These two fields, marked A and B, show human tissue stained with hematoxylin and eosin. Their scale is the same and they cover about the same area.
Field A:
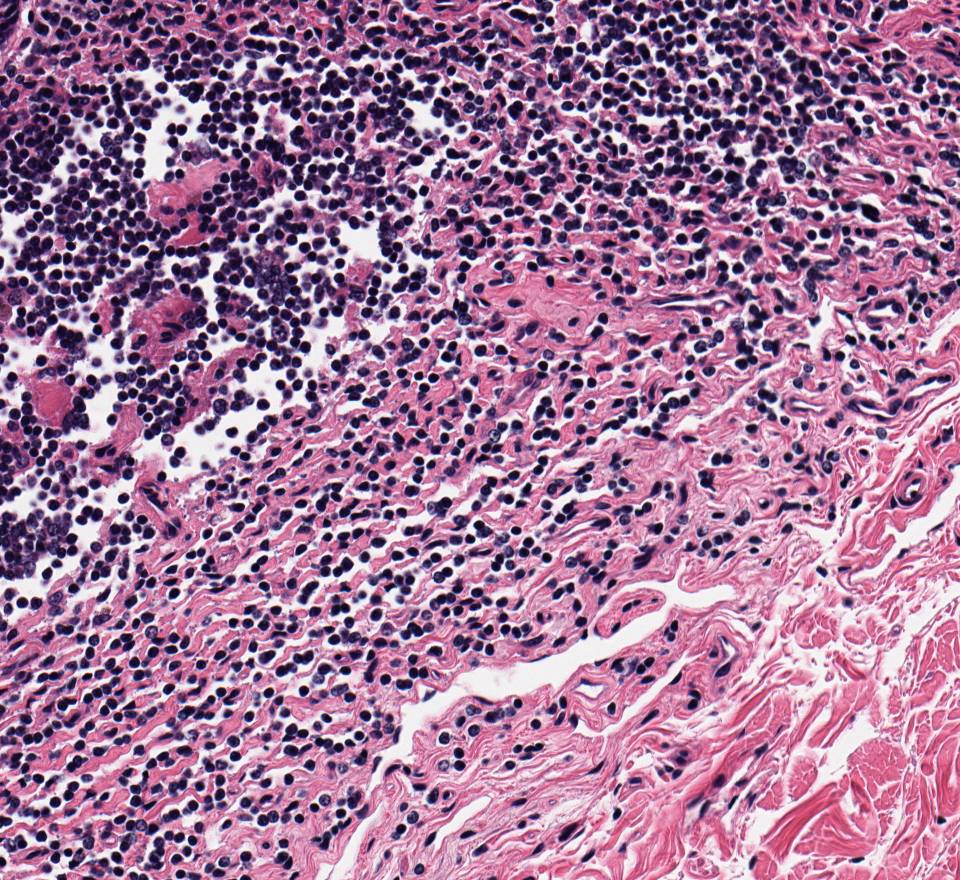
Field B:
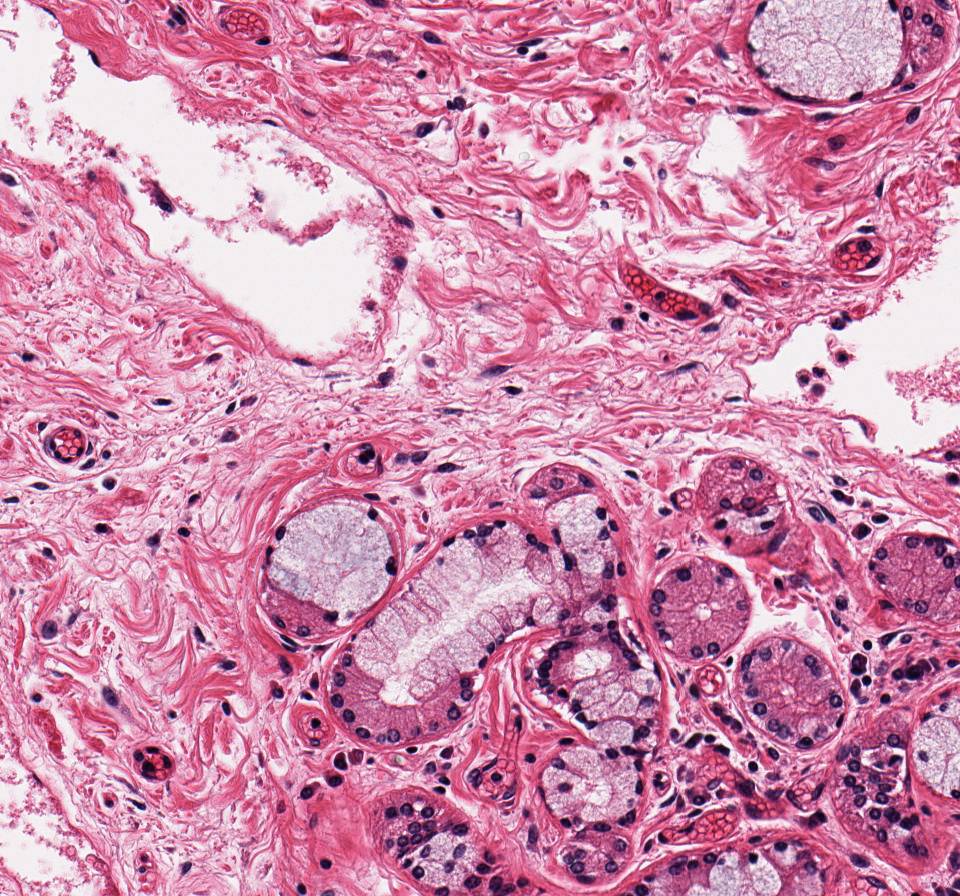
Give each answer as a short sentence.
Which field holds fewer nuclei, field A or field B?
There are fewer nuclei in field B.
